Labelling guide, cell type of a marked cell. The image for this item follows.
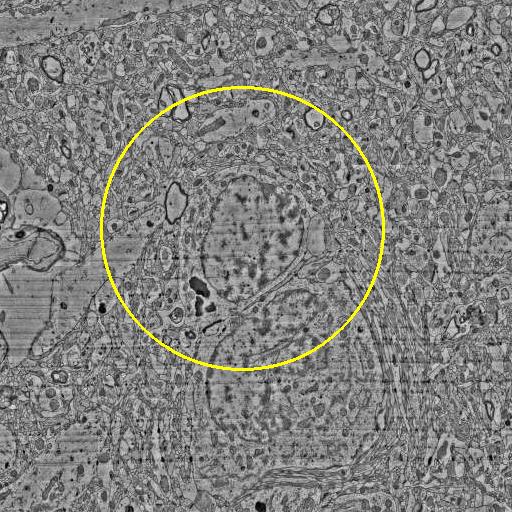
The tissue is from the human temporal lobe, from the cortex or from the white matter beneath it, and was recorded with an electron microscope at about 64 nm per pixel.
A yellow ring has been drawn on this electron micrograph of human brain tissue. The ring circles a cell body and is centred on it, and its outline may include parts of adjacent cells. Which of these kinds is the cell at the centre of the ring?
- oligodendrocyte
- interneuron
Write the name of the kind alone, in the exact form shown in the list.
interneuron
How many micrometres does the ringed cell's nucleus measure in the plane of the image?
In this plane, the nucleus of the cell at the centre of the ring measures about 9 by 6 micrometres.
